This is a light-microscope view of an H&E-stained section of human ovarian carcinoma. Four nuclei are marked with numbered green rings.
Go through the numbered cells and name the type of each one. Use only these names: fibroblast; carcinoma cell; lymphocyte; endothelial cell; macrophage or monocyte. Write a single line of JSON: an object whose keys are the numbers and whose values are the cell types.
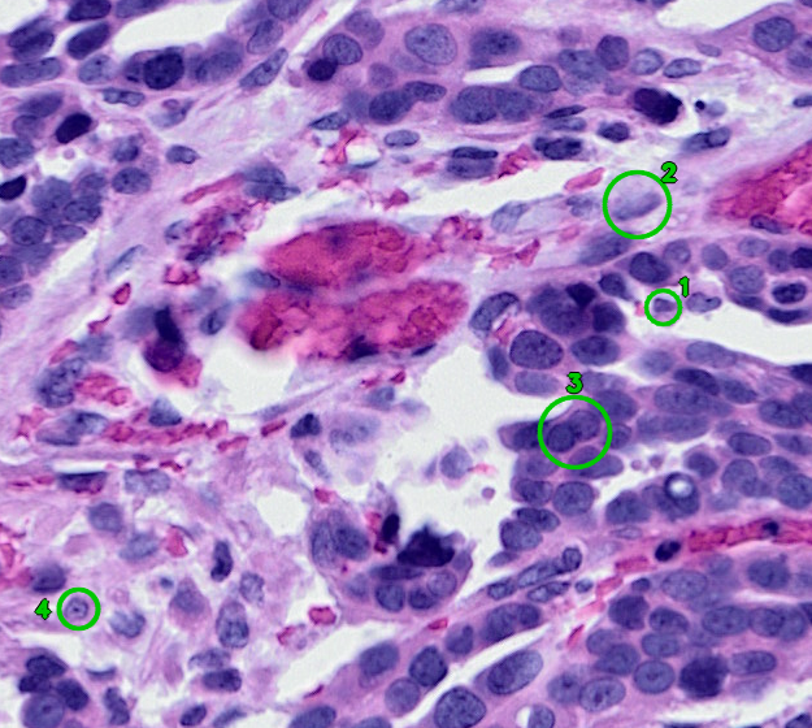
{"1": "macrophage or monocyte", "2": "fibroblast", "3": "carcinoma cell", "4": "macrophage or monocyte"}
